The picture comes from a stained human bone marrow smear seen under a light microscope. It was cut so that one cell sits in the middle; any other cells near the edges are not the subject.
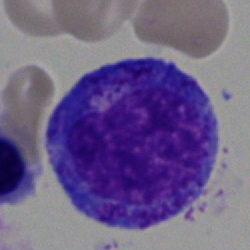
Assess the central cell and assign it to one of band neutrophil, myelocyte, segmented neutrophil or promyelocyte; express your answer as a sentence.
Located at the centre of the crop is a promyelocyte.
